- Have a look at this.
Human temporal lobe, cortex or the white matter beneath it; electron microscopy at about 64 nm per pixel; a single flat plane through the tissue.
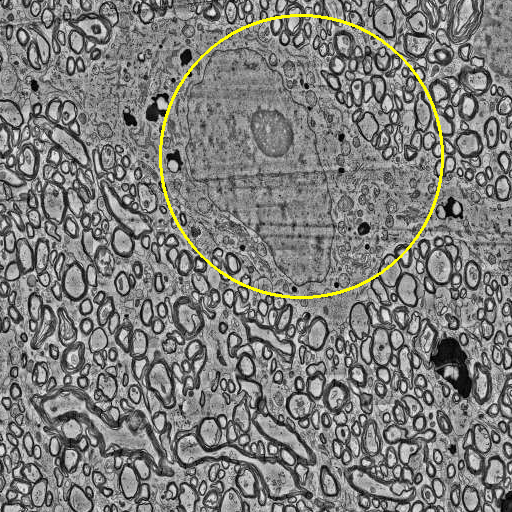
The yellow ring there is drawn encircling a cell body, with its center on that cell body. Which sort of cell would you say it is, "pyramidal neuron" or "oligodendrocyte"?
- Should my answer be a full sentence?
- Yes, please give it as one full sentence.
For this picture, a pyramidal neuron is the cell where the yellow ring has its center.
